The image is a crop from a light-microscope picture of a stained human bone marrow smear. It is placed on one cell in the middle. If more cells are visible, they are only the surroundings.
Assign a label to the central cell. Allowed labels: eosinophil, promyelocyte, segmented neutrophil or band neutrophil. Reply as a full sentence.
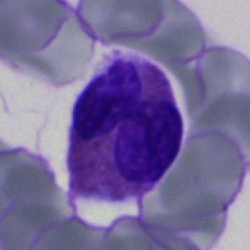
Where the crop is centred, there is an eosinophil.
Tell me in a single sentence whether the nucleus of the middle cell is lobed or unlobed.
You can count two or more lobes in this nucleus.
